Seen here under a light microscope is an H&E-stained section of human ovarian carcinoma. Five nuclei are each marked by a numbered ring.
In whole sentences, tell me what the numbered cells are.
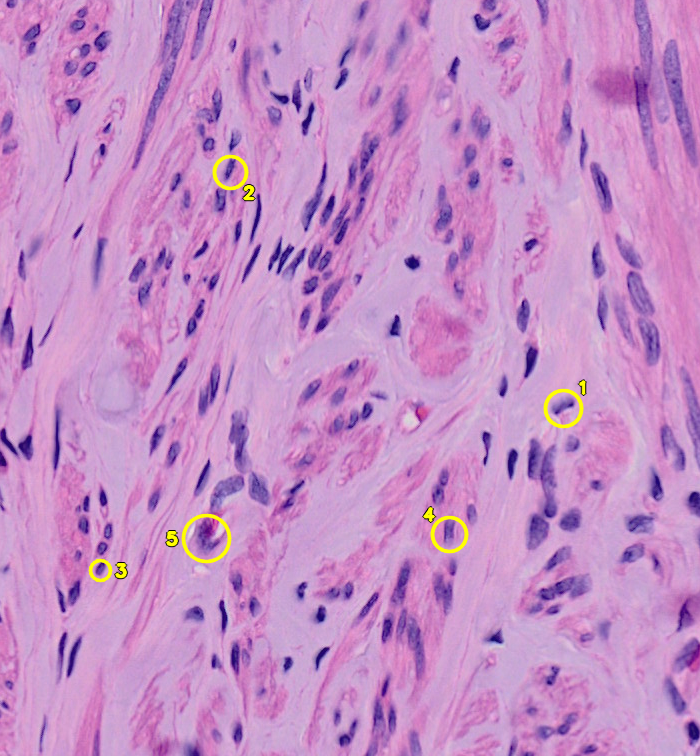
Cell 1 is a fibroblast, cell 2 is a smooth muscle cell, cell 3 is a smooth muscle cell, cell 4 is a smooth muscle cell and cell 5 is an endothelial cell.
